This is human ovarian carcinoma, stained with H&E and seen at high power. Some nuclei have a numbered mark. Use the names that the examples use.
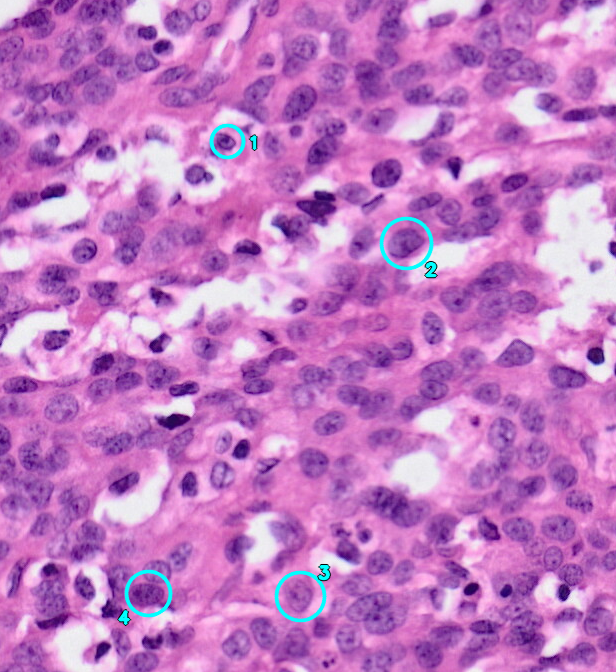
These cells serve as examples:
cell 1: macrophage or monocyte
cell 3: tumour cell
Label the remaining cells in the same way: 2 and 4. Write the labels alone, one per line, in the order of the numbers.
tumour cell
tumour cell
